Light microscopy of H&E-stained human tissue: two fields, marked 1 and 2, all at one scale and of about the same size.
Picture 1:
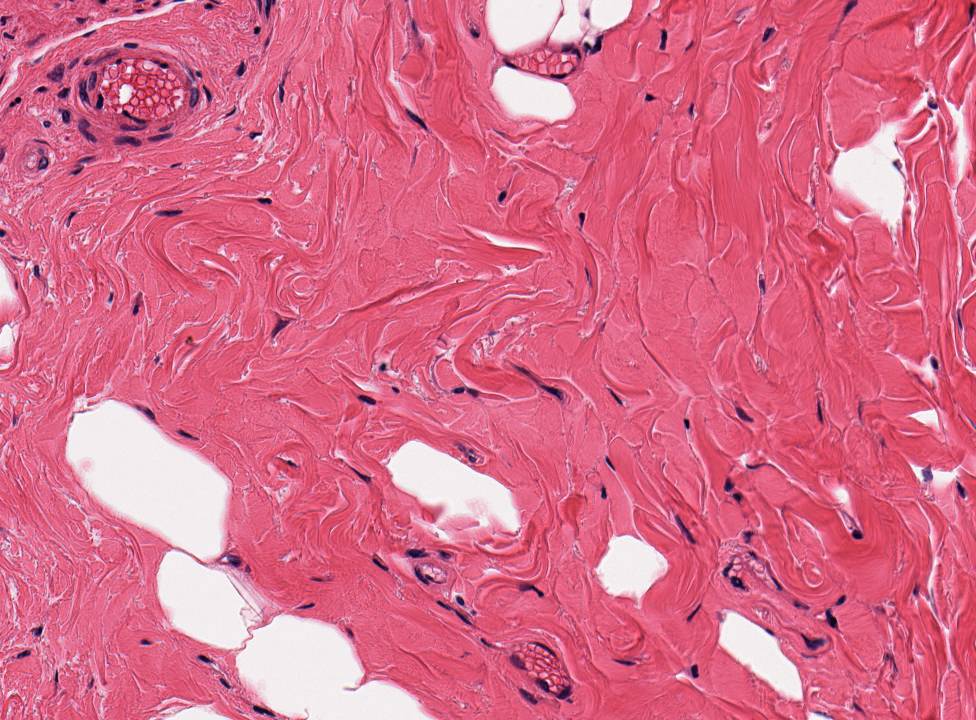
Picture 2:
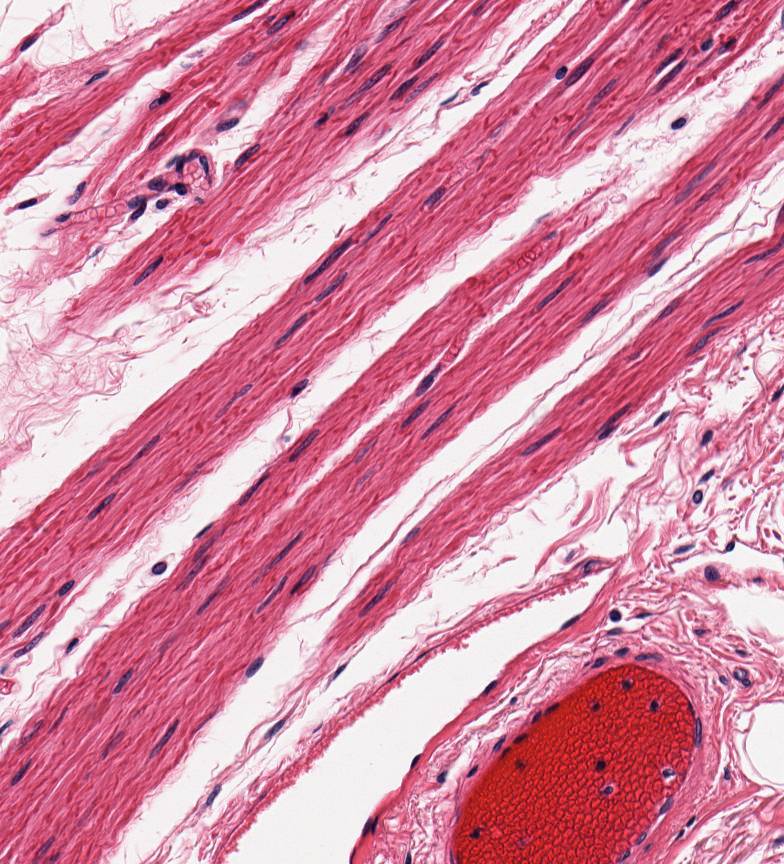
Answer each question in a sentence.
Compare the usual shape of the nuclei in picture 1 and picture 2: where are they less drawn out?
The nuclei are rounder in picture 1.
